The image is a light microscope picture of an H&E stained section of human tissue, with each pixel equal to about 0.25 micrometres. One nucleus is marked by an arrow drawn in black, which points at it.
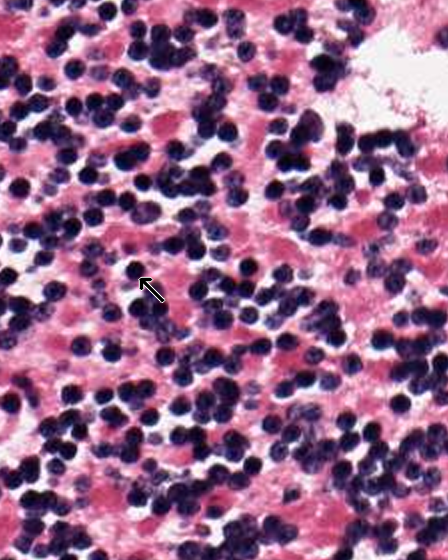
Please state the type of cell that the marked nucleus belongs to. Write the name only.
cerebellar granule cell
